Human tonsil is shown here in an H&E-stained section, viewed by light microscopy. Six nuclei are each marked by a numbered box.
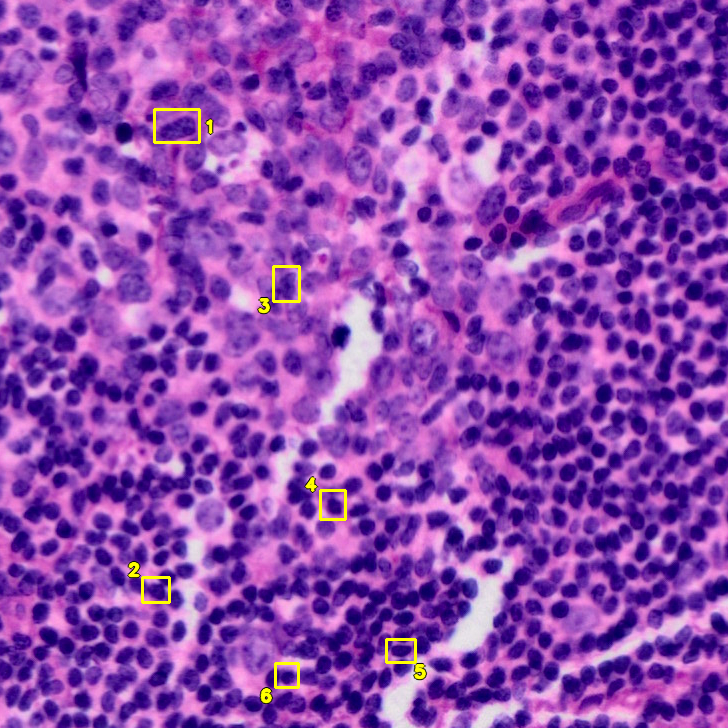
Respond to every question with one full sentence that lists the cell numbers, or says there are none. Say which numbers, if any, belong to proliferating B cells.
The identity of cells 1 and 3: they are proliferating B cells.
